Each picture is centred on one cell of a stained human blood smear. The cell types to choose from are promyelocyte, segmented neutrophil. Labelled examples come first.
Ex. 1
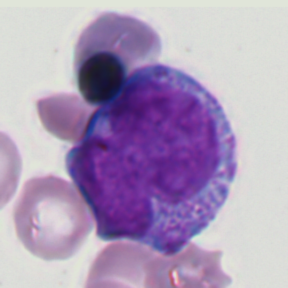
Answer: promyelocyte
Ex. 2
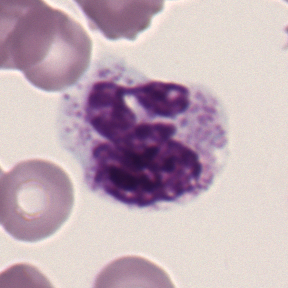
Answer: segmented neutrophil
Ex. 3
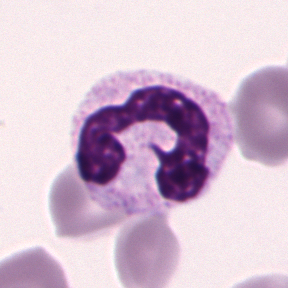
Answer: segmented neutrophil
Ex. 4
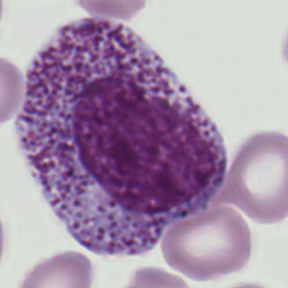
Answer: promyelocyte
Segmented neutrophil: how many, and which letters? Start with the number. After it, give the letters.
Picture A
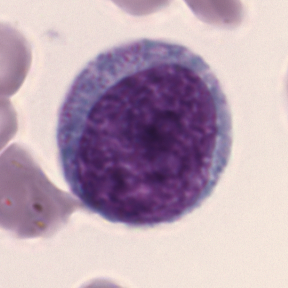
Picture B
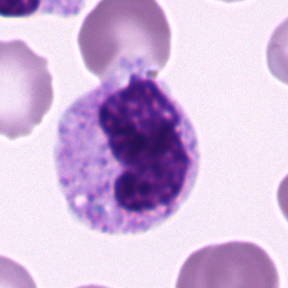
Count: 1 (B)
